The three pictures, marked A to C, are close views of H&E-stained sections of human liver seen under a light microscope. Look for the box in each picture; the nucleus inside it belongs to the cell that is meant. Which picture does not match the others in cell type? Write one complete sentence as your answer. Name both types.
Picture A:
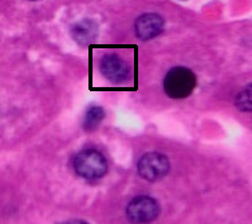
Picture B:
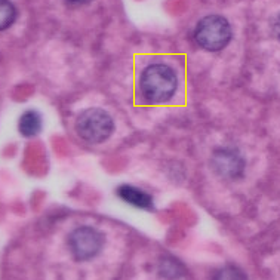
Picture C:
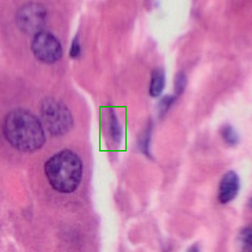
The different one is picture B; it shows a hepatocyte, whereas all the others show “fibroblasts or stellate cells”.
